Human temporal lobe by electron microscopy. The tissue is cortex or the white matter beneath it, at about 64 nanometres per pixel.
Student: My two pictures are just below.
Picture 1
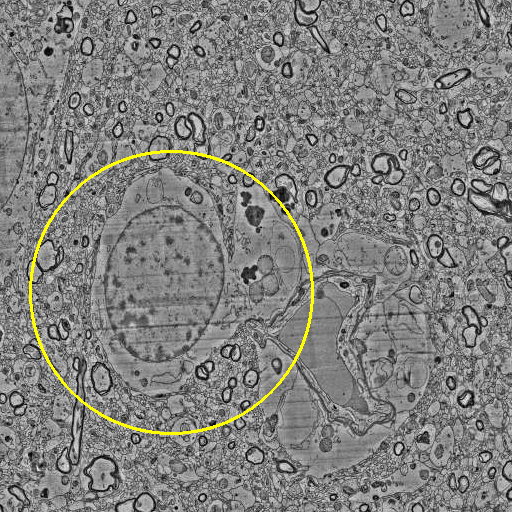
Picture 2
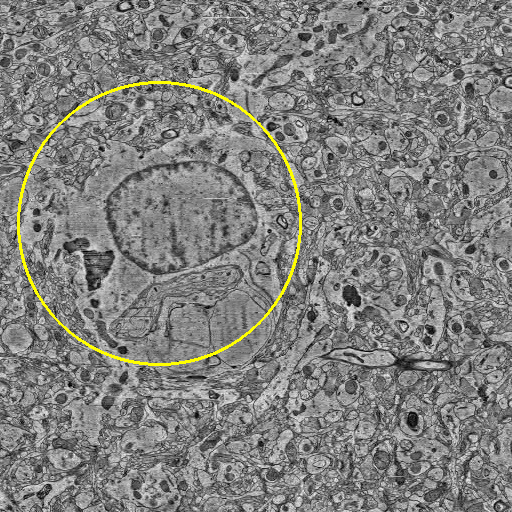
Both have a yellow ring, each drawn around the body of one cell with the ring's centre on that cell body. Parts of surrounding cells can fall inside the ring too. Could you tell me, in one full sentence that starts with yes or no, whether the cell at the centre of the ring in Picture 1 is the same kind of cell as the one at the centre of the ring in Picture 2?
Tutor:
Yes, the two cells are of the same kind.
